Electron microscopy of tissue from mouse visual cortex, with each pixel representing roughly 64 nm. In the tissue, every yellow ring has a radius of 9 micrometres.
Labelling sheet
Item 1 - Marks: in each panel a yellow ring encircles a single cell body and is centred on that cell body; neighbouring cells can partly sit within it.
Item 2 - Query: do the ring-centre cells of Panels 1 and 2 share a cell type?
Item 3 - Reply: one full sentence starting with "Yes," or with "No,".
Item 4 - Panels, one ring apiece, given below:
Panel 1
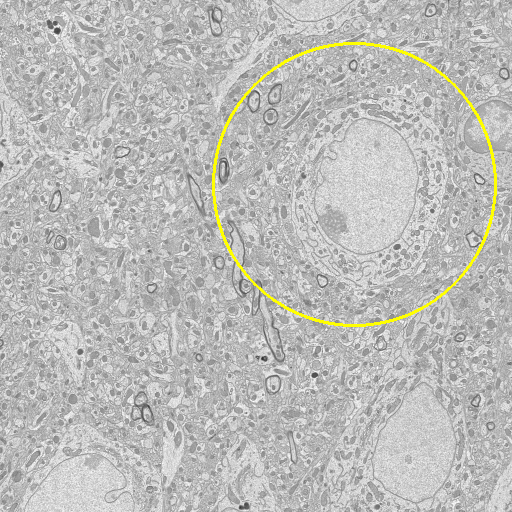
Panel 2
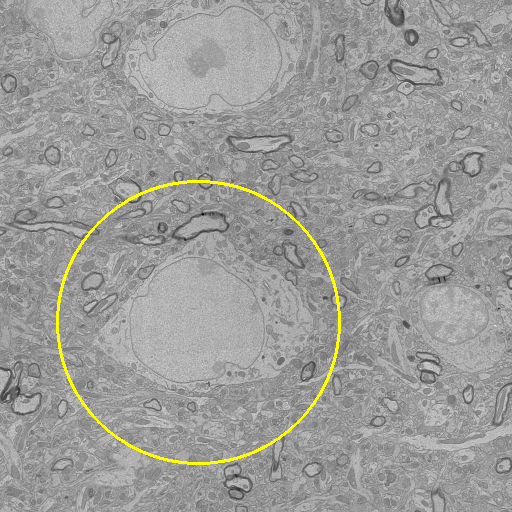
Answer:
No, Panel 1 and Panel 2 show two cell types at the centres of their rings.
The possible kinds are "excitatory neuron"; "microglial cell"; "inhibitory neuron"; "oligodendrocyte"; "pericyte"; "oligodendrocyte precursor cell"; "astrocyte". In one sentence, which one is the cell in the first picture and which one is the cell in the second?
The cell ringed in the second picture is an excitatory neuron, whereas the one ringed in the first is an inhibitory neuron.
